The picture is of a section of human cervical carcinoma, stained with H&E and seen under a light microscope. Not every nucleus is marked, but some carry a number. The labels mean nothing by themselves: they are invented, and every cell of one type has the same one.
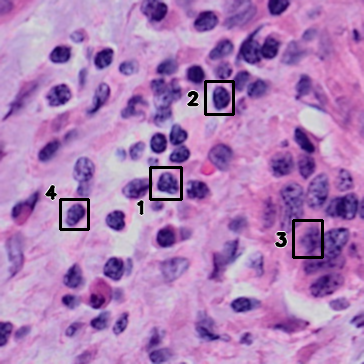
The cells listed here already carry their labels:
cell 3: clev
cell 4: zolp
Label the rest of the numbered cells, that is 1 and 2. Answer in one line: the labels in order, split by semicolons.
zolp; zolp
